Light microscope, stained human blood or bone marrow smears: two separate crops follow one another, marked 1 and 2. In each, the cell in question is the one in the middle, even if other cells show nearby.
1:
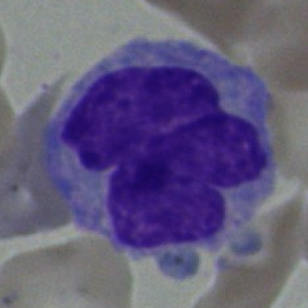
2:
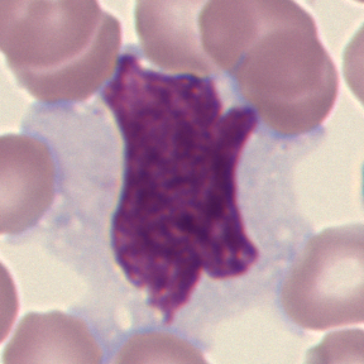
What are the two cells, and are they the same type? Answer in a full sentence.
Yes, monocytes are what the two crops show.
